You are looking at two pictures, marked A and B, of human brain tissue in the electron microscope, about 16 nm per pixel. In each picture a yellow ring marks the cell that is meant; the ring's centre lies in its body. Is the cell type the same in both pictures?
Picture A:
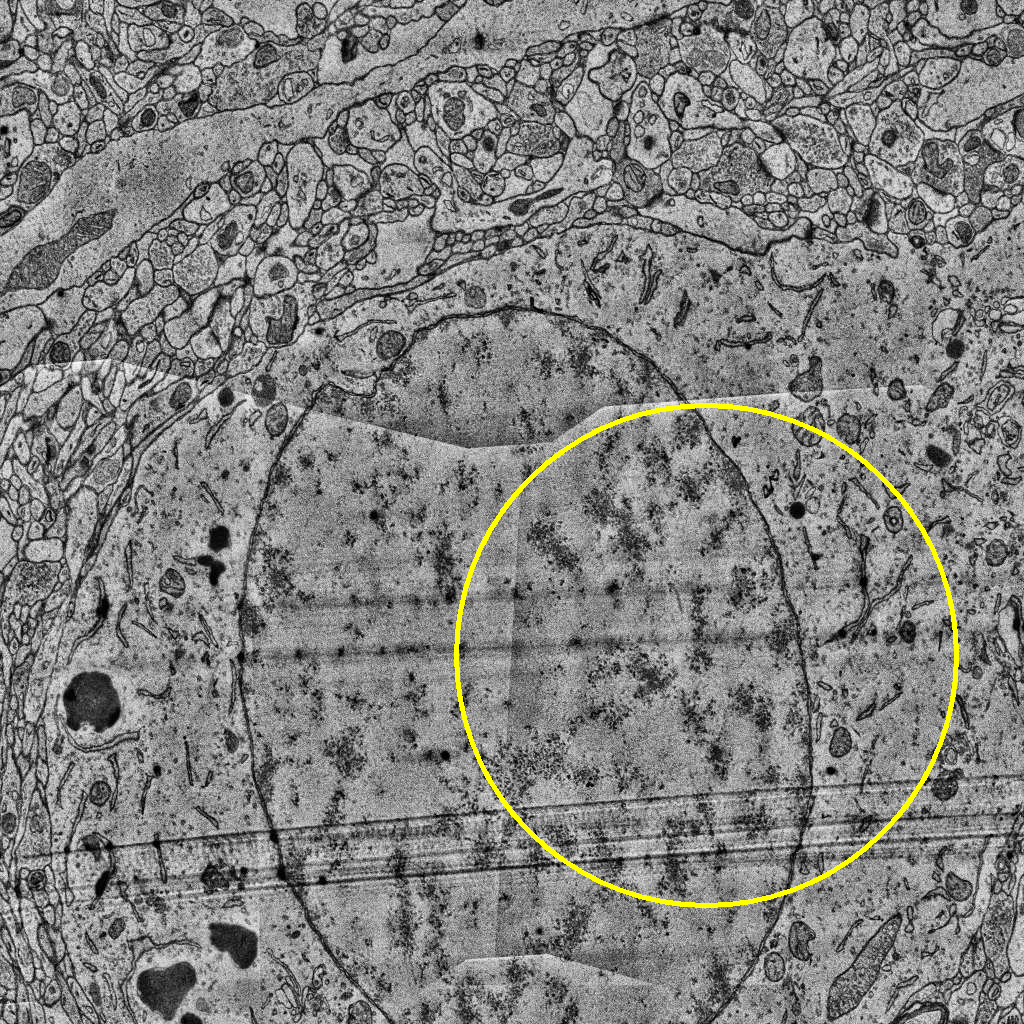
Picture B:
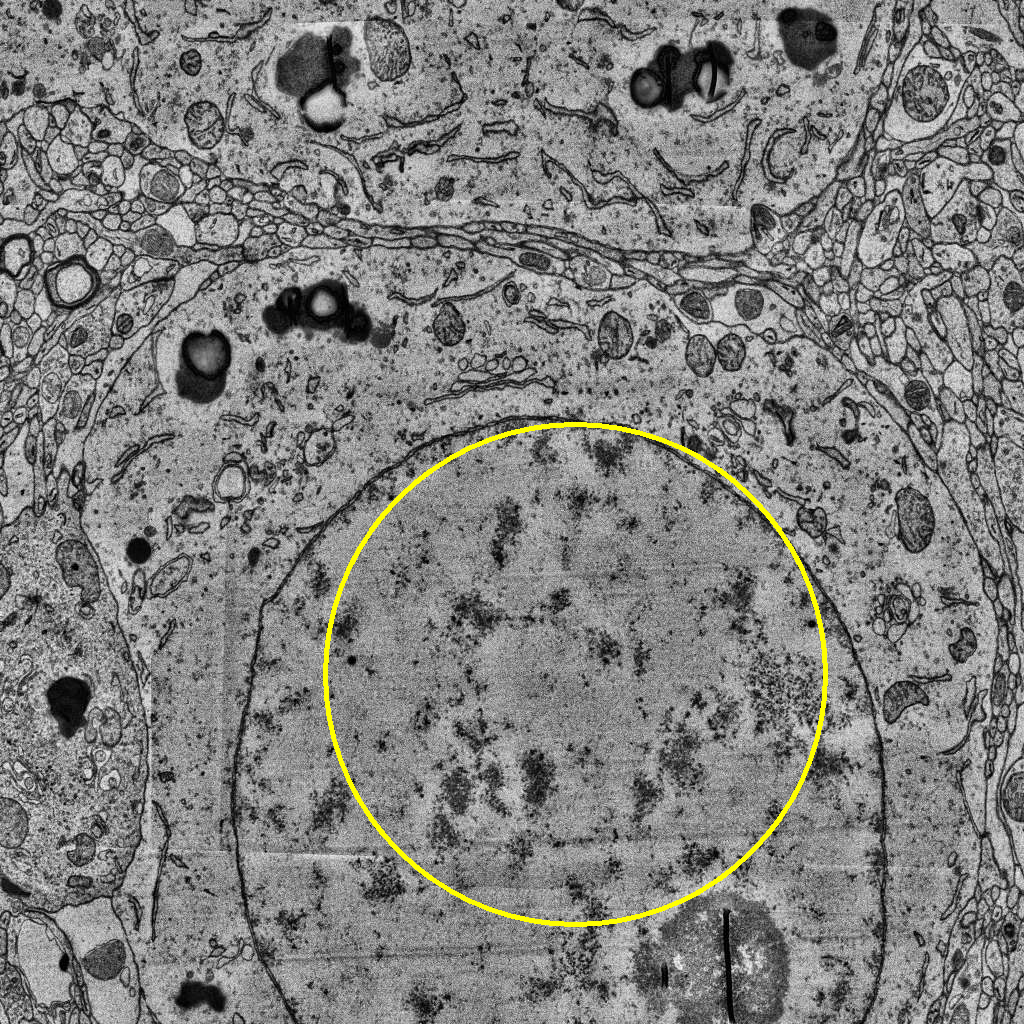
Yes, both cells are pyramidal neurons.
